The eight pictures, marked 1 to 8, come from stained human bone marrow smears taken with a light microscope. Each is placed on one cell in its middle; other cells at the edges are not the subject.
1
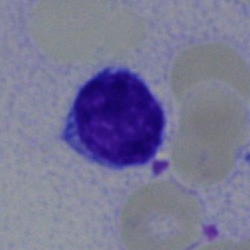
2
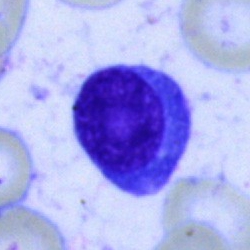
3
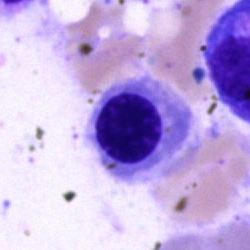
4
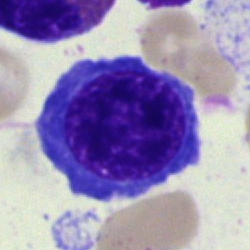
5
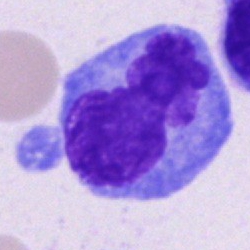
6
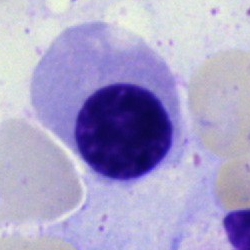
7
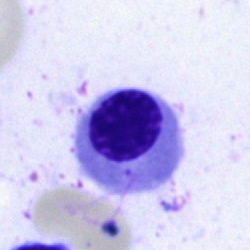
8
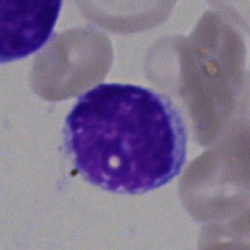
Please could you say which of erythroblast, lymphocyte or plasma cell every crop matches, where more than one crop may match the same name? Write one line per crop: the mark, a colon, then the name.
1: lymphocyte
2: plasma cell
3: erythroblast
4: erythroblast
5: plasma cell
6: erythroblast
7: erythroblast
8: lymphocyte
